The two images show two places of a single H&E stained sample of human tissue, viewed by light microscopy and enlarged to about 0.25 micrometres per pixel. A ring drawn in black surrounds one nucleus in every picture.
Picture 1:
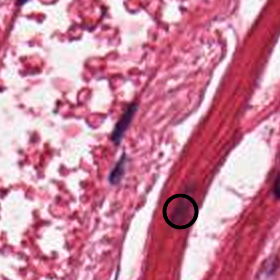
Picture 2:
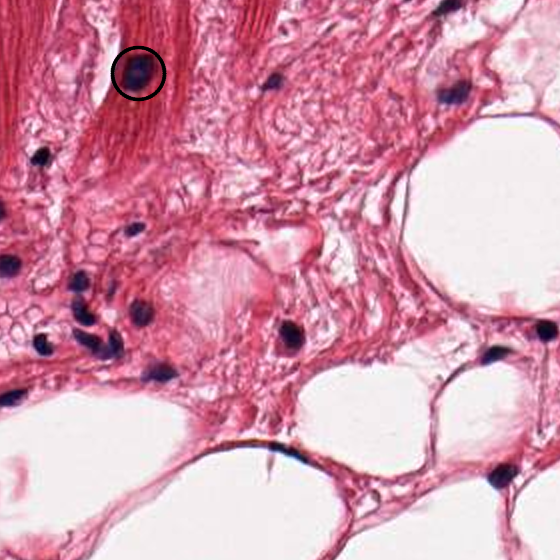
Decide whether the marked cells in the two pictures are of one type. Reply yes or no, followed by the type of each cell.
Yes, both are cardiomyocytes.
